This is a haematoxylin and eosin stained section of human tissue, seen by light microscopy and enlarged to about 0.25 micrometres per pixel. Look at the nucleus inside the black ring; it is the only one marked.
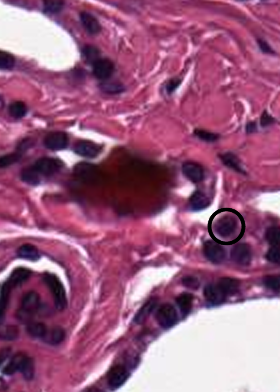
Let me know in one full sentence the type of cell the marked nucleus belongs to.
Belonging to a thyroid follicular cell is the marked nucleus.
